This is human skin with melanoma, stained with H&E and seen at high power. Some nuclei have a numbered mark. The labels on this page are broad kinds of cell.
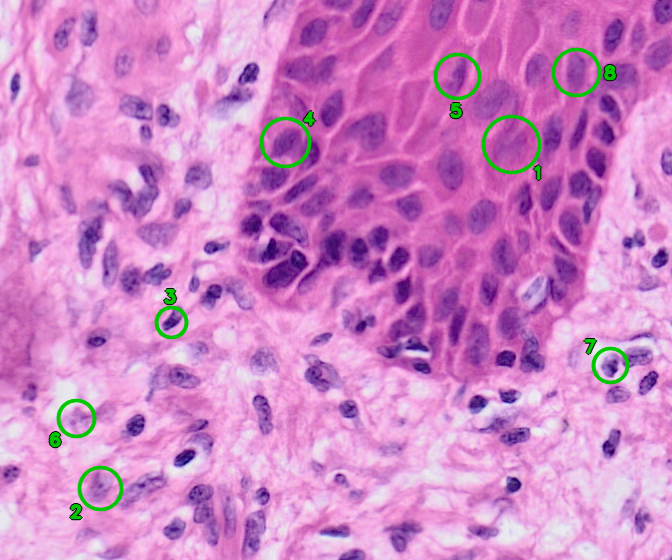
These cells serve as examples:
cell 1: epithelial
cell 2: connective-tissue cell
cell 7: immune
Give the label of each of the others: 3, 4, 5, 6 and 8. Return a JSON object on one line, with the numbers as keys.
{"3": "immune", "4": "epithelial", "5": "epithelial", "6": "connective-tissue cell", "8": "epithelial"}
